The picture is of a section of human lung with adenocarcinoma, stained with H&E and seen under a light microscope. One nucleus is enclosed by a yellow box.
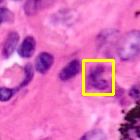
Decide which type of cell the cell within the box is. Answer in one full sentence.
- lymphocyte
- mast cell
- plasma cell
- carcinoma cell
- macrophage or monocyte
To be brief about it, the cell within the box is a plasma cell.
